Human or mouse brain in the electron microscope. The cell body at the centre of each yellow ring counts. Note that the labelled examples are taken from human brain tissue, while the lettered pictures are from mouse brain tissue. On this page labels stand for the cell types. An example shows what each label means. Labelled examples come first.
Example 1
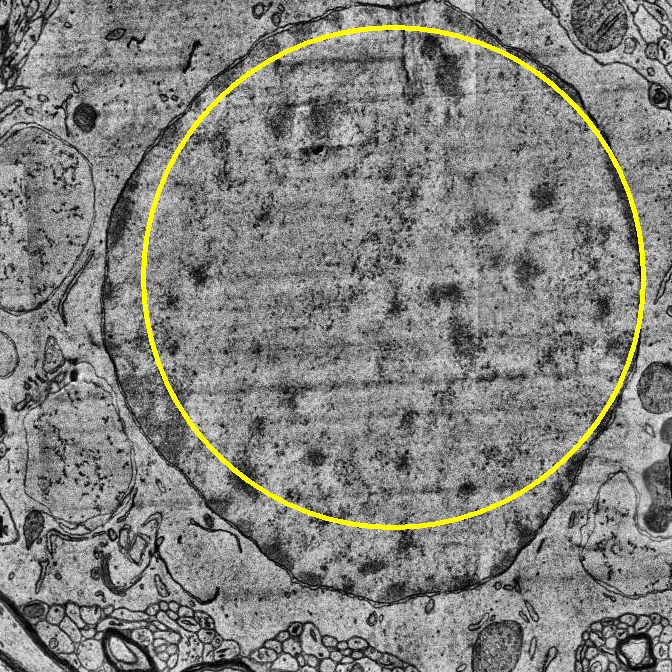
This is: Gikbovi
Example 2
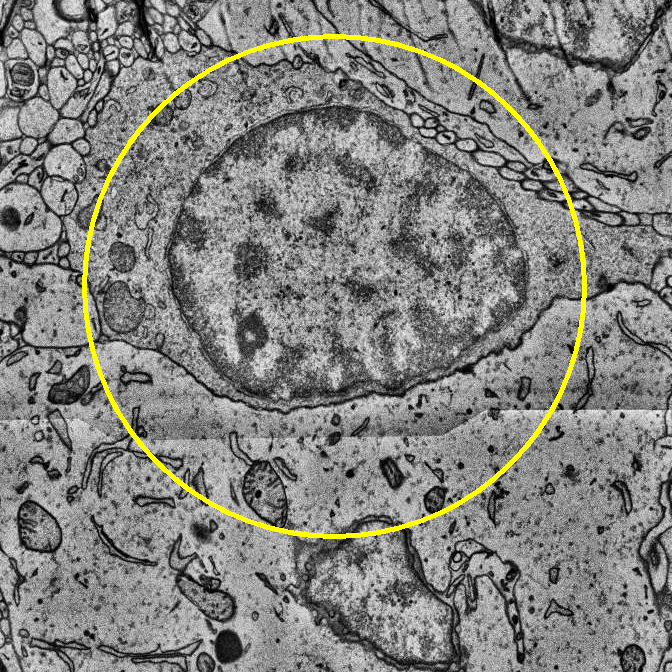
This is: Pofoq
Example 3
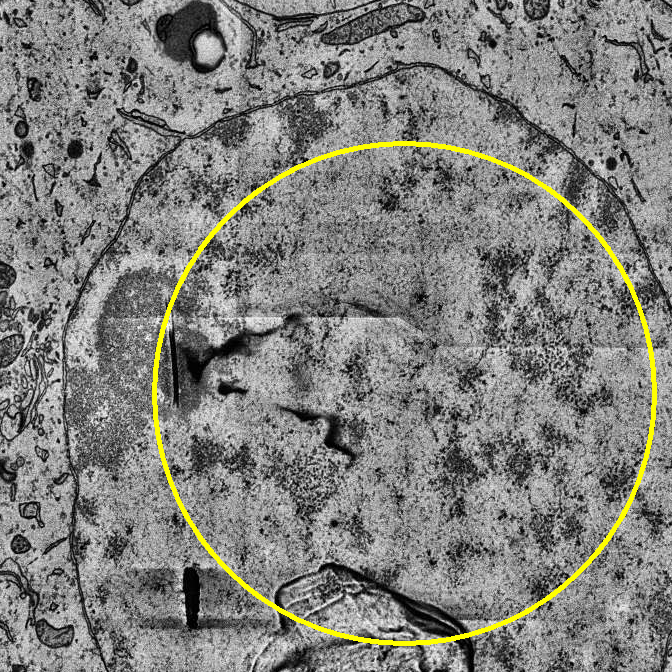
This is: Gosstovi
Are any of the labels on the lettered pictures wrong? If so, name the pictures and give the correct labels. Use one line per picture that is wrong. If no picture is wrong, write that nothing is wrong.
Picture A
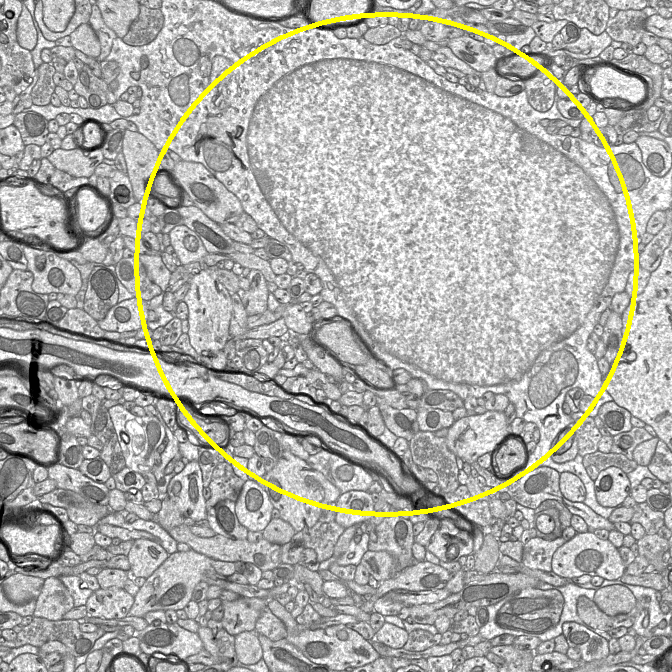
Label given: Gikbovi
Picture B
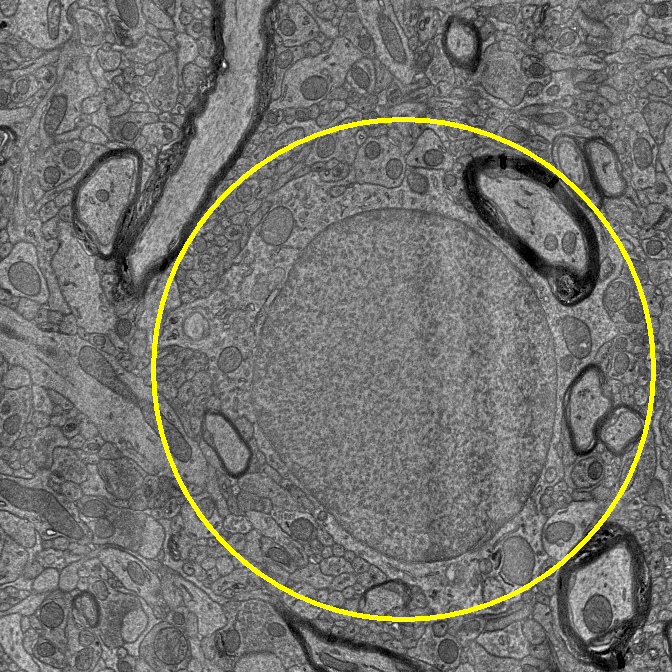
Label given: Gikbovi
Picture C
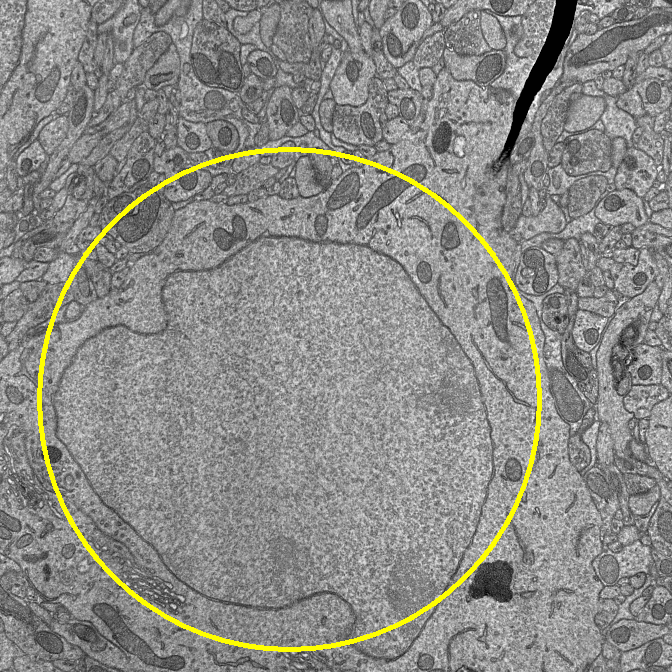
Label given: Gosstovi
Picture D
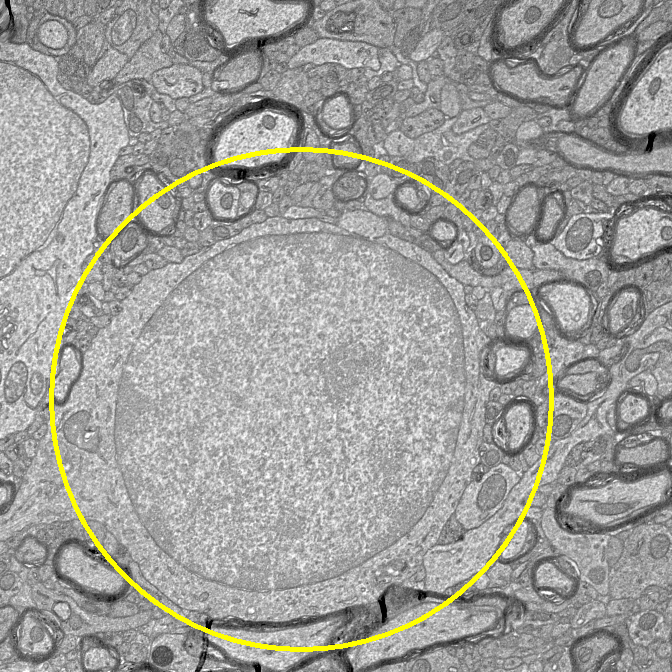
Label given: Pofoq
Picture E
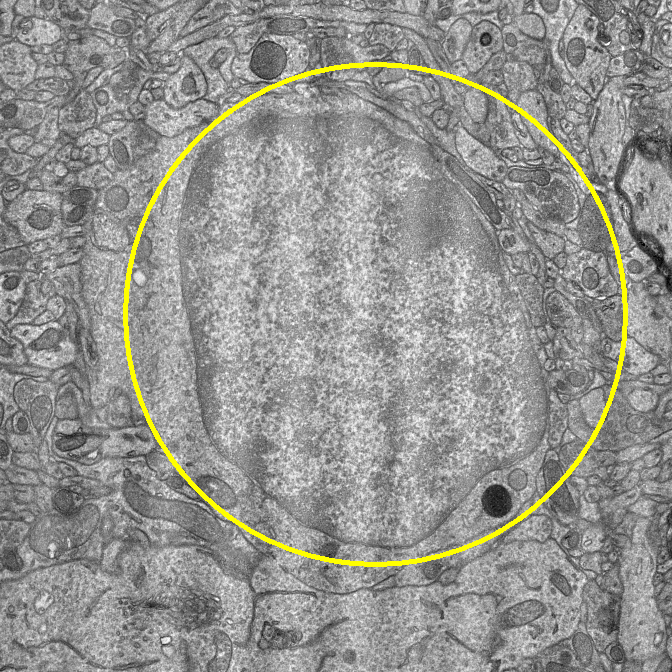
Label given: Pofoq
All correct.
